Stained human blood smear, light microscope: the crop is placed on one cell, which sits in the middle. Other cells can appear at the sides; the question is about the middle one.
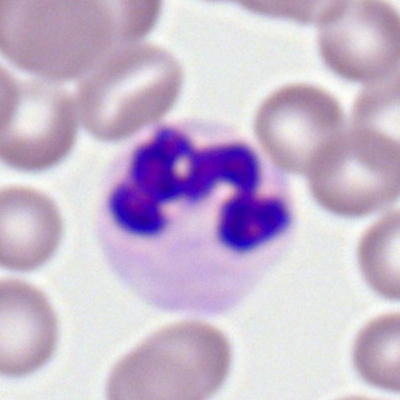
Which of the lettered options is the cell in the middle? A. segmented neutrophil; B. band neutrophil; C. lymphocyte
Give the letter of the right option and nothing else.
A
